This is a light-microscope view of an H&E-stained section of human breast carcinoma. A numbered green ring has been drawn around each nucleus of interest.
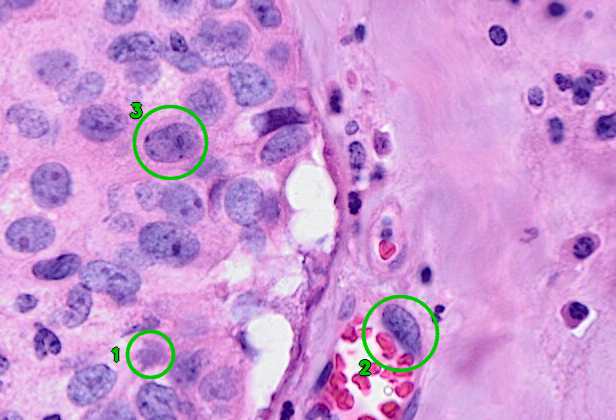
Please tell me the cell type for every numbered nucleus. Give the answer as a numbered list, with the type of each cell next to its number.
1. carcinoma cell
2. endothelial cell
3. carcinoma cell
